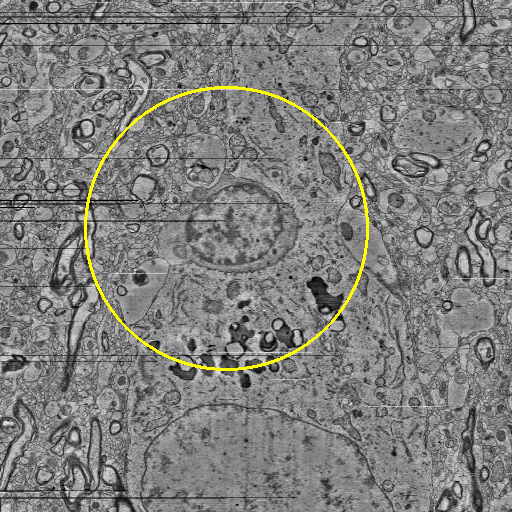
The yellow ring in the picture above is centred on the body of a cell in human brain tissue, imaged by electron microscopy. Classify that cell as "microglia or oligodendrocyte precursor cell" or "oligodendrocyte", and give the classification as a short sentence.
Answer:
The cell in the middle of the ring is an oligodendrocyte.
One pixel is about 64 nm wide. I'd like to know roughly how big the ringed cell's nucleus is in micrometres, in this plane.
In this plane the nucleus spans approximately 6 by 5 micrometers.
